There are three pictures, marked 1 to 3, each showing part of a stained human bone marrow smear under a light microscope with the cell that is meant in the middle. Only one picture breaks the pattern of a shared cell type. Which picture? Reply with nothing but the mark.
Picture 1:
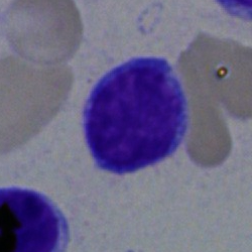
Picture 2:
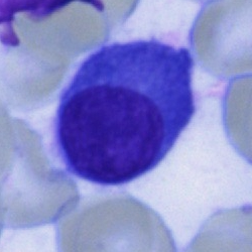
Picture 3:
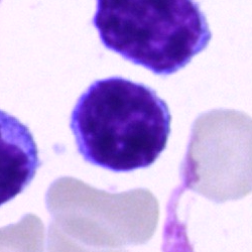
2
